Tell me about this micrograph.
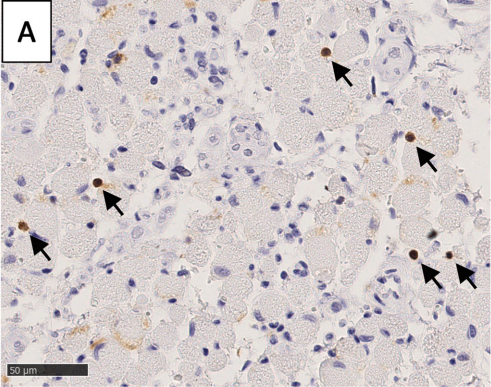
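Skeletal muscle fibers cut in cross-section fill the field, pale with a fine granular interior, separated by thin strands of connective tissue holding blue oval nuclei. Scattered singly in these spaces between fibers lie a few small round cells with a dark round nucleus and a thin brown rim of stained cytoplasm. These cells are far smaller than the muscle fibers and are not arranged in clusters.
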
